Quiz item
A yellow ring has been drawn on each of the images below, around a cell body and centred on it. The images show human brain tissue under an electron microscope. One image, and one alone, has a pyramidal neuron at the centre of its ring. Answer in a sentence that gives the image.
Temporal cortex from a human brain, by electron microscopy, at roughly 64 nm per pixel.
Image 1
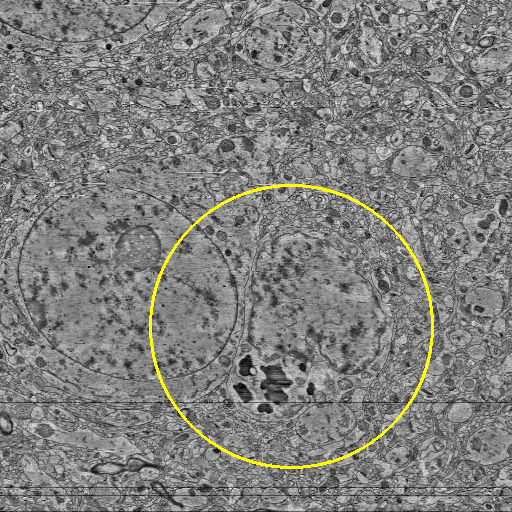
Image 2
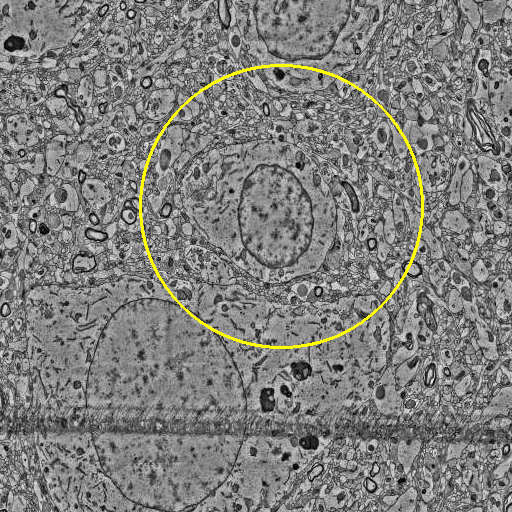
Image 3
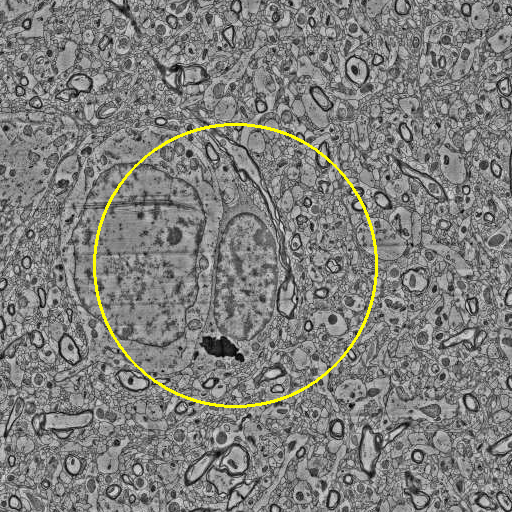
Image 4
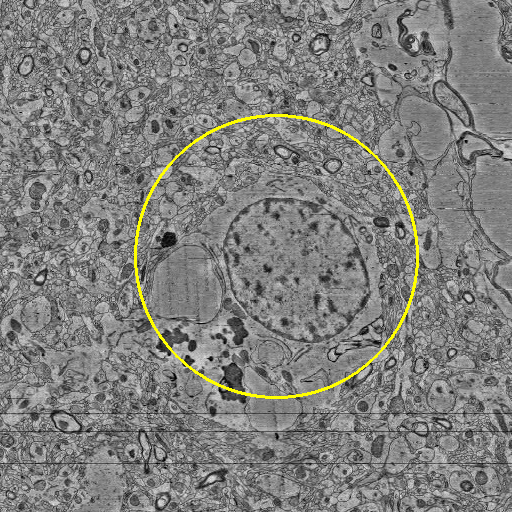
Image 2 shows it at the centre of the ring.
